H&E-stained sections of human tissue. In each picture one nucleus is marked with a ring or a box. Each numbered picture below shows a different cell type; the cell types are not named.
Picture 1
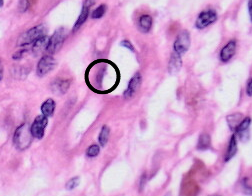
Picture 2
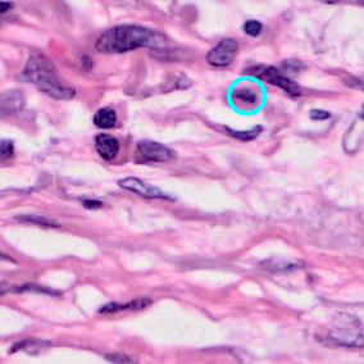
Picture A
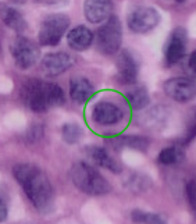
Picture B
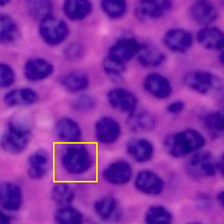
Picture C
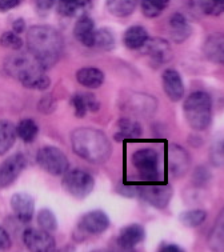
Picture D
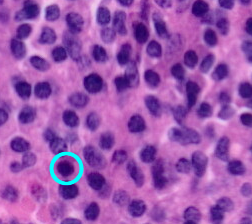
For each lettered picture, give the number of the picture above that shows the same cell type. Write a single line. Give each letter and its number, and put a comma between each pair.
A 2, B 2, C 1, D 2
